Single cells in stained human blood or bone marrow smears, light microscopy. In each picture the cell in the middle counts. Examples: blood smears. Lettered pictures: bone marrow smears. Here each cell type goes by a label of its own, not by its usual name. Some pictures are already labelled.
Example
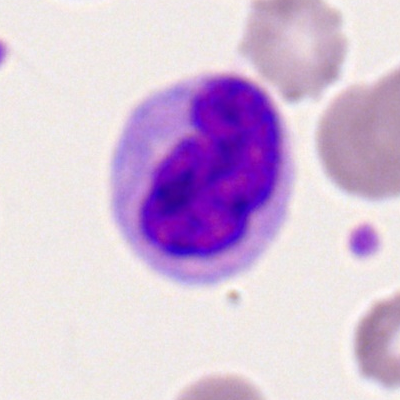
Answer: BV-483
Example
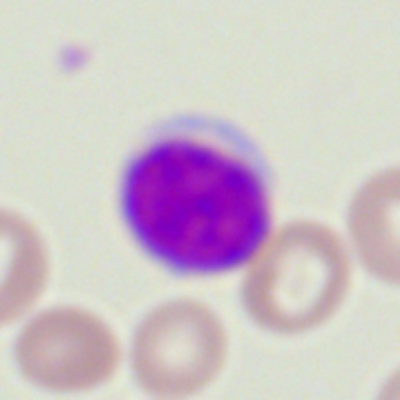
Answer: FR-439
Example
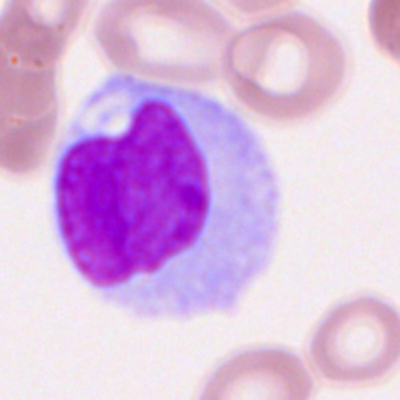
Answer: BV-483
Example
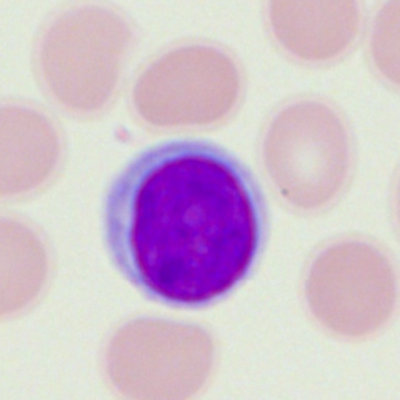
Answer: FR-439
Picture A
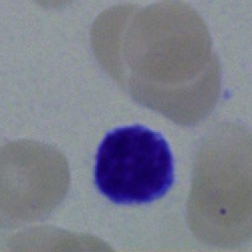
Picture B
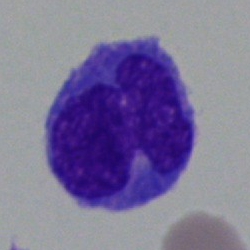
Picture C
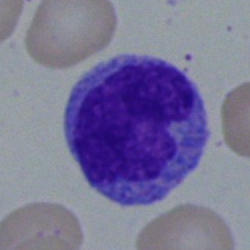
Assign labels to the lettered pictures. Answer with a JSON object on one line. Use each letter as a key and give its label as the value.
{"A": "FR-439", "B": "BV-483", "C": "BV-483"}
